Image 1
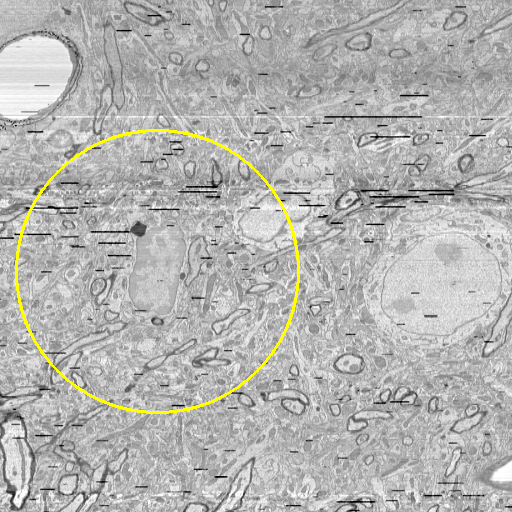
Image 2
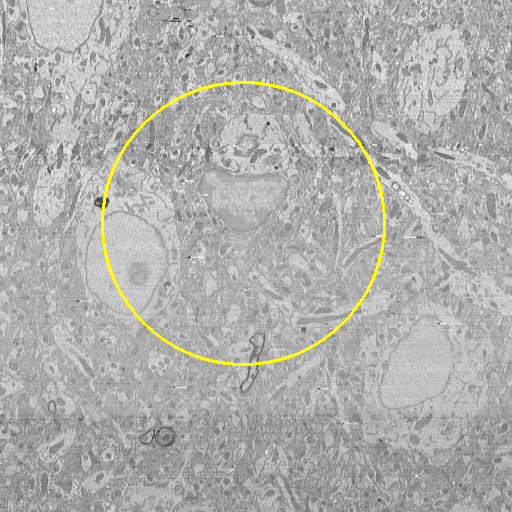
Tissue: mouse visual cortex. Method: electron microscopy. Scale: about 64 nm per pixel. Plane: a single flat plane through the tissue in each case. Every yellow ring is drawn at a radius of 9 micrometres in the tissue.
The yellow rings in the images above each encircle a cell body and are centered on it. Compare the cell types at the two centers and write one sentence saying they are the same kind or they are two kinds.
Taken together, the two cells at the ring centers are the same kind.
